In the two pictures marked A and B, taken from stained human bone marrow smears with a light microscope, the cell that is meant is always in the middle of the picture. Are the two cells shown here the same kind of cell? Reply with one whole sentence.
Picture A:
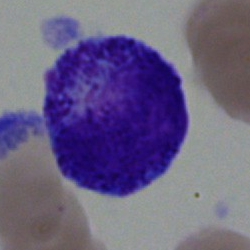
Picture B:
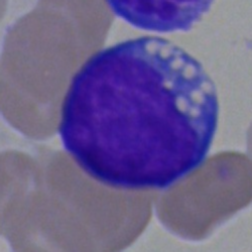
No. Picture A shows a myelocyte, but picture B shows a blast.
